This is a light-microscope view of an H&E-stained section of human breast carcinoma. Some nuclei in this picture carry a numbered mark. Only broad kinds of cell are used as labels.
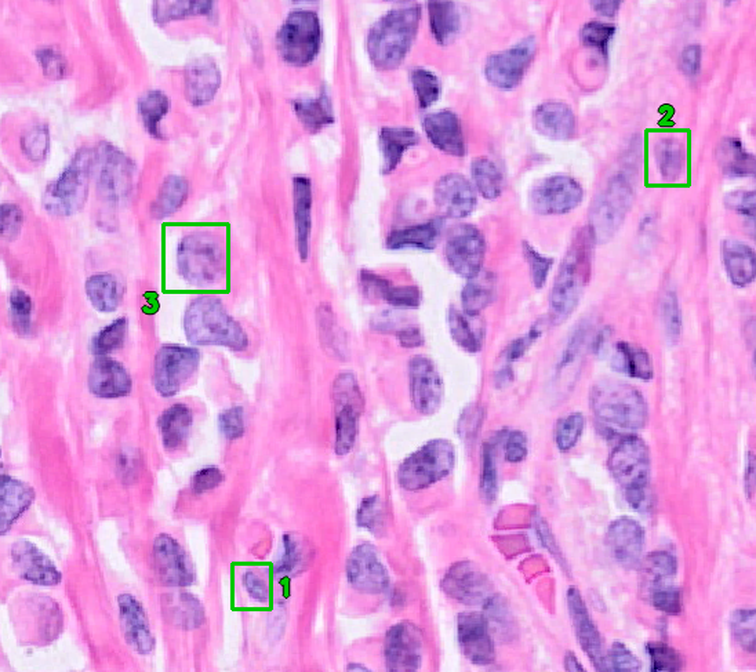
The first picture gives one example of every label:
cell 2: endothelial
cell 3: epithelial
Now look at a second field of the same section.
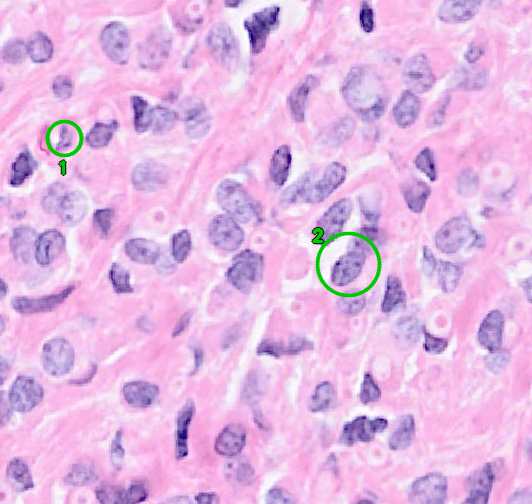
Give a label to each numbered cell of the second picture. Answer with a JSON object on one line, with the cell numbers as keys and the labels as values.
{"1": "endothelial", "2": "epithelial"}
